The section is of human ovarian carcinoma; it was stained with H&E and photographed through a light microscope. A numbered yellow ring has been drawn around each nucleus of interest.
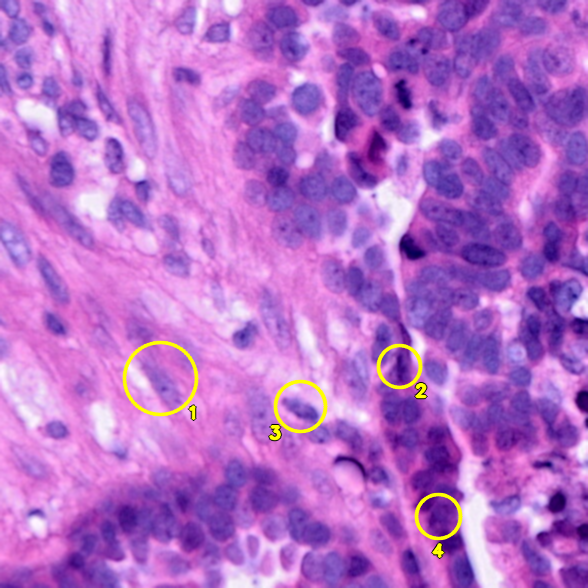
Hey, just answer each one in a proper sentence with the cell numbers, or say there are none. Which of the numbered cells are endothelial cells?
None of the cells bearing numbers are endothelial cells.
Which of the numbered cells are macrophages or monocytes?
Cell 3 is a macrophage or monocyte and is the only numbered cell of that kind.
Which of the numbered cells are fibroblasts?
With the exception of cell 1, no marked cell is a fibroblast.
